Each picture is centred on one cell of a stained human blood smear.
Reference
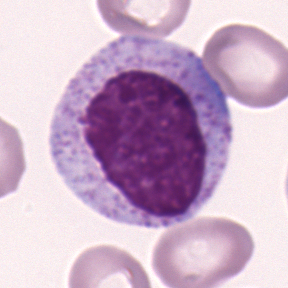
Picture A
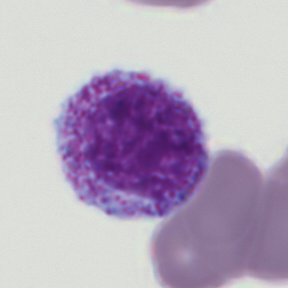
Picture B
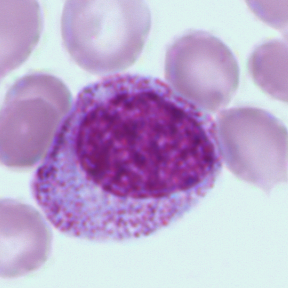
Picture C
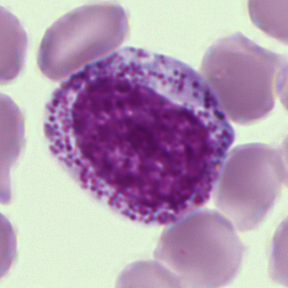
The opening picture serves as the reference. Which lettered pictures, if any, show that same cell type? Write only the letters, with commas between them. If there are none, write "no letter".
A, B, C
